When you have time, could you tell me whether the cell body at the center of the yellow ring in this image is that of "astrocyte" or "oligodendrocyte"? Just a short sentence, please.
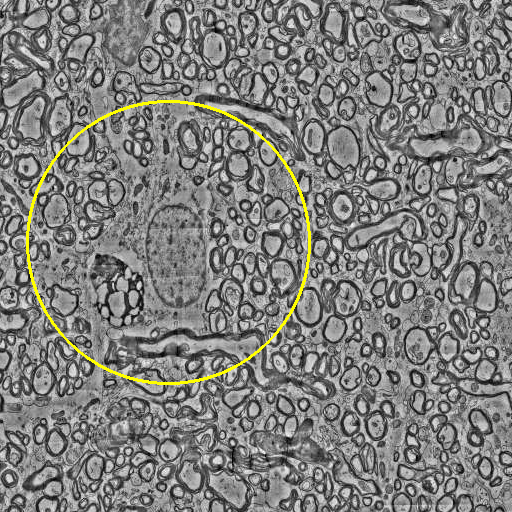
The cell body at the center of the ring is that of an astrocyte.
